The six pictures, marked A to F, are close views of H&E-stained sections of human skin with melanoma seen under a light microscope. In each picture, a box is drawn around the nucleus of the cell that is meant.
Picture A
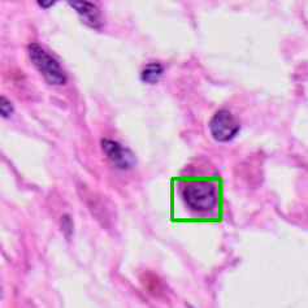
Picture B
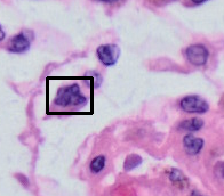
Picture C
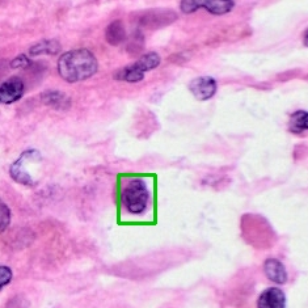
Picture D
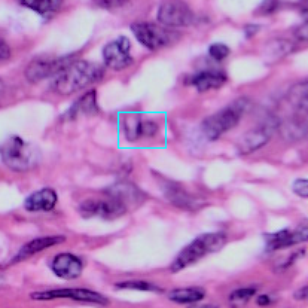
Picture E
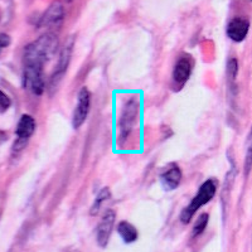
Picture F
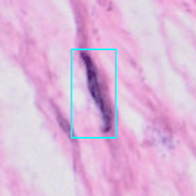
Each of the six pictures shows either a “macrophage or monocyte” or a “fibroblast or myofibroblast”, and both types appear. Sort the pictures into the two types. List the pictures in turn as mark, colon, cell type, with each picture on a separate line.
A: macrophage or monocyte
B: macrophage or monocyte
C: macrophage or monocyte
D: macrophage or monocyte
E: fibroblast or myofibroblast
F: fibroblast or myofibroblast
